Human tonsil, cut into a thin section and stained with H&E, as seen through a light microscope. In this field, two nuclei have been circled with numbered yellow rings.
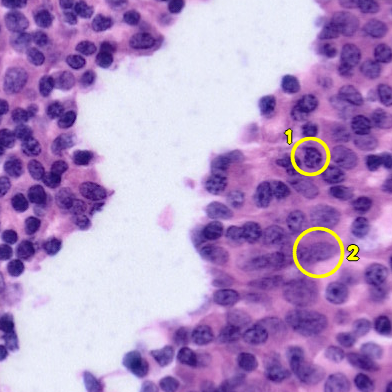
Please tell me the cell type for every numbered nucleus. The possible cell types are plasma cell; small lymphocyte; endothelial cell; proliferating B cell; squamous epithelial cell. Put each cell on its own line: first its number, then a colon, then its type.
1: plasma cell
2: squamous epithelial cell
